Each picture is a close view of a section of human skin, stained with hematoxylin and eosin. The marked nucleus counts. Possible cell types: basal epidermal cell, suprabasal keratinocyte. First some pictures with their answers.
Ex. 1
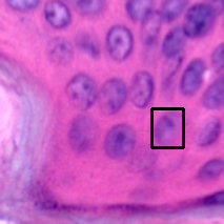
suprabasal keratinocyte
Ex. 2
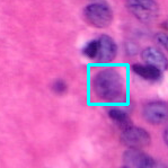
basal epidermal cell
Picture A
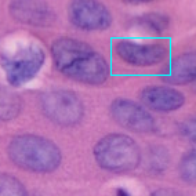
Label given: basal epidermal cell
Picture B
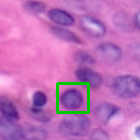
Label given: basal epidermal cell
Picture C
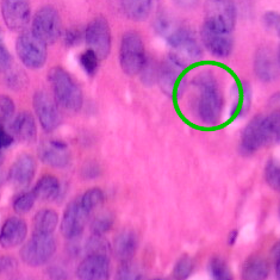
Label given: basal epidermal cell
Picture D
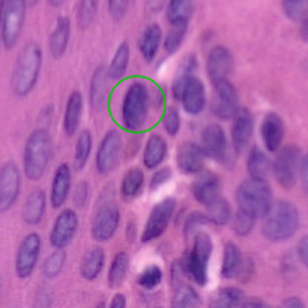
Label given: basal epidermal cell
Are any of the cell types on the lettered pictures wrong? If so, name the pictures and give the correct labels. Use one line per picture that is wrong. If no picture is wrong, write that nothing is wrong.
None of the labels needs changing.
